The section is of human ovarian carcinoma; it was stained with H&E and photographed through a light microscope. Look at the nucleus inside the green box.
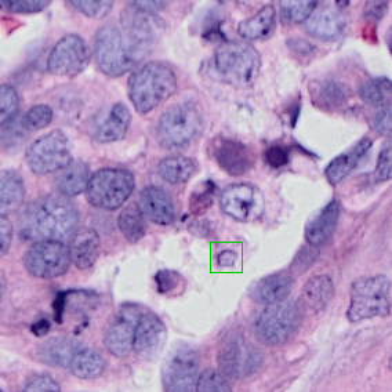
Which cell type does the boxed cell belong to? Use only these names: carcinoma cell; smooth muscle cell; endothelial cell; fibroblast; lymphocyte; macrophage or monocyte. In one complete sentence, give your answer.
For cell typing purposes, the boxed cell is a macrophage or monocyte.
